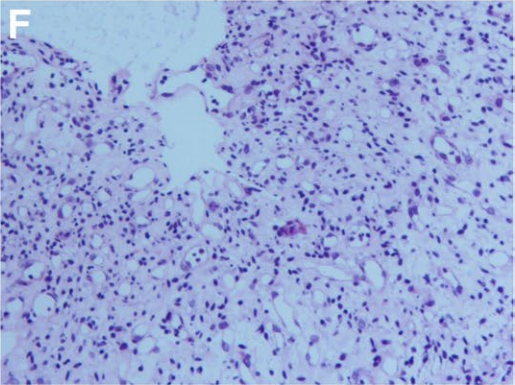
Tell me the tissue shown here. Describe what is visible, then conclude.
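Granulation tissue. Loose pale-pink stroma with many scattered spindle-shaped and oval nuclei. Numerous small empty or thin-walled vascular spaces throughout the tissue. No surface epithelial lining is visible.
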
